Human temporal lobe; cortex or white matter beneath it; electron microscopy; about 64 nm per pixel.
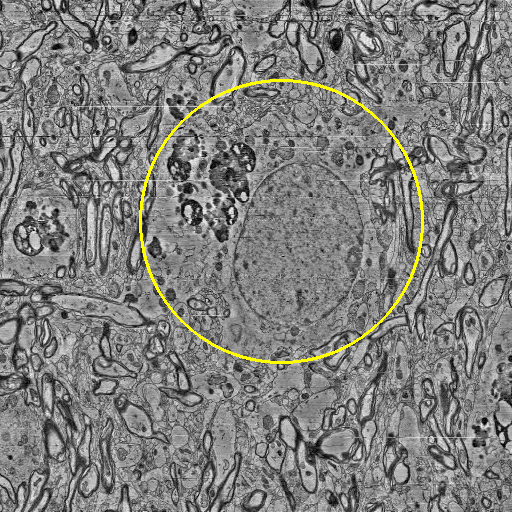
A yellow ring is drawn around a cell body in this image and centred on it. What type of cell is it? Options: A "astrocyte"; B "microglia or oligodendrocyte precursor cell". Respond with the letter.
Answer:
A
